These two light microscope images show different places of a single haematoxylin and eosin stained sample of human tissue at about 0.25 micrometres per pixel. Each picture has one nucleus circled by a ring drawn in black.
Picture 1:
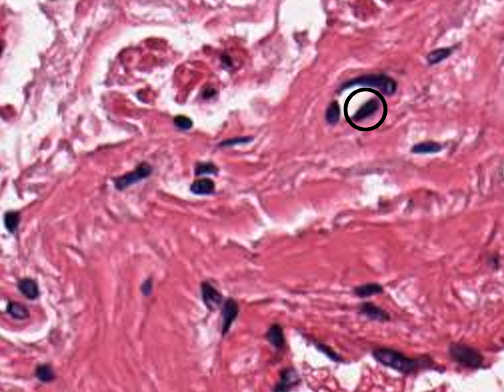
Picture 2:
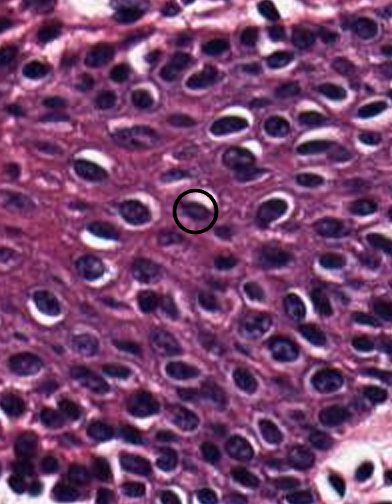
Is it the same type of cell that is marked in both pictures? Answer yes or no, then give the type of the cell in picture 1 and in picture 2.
No, the first is an endothelial cell and the second a squamous epithelial cell.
